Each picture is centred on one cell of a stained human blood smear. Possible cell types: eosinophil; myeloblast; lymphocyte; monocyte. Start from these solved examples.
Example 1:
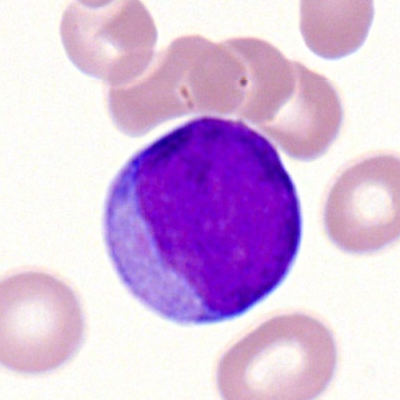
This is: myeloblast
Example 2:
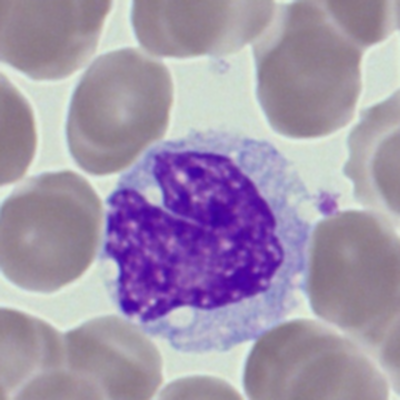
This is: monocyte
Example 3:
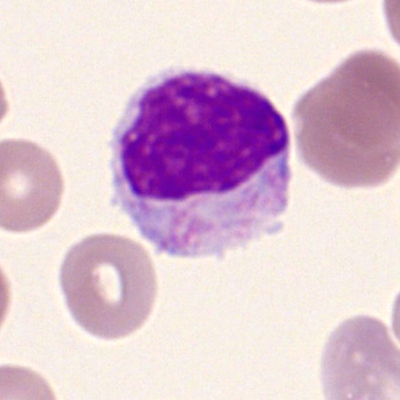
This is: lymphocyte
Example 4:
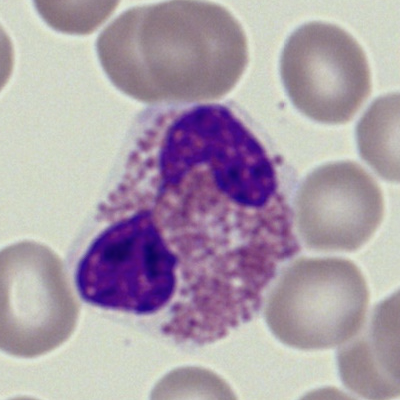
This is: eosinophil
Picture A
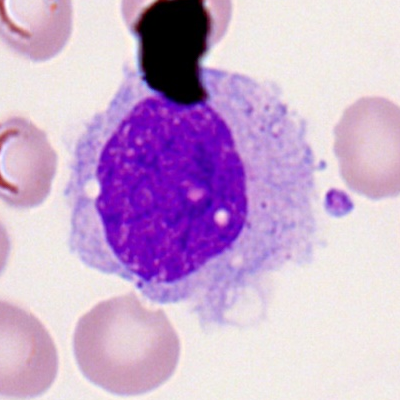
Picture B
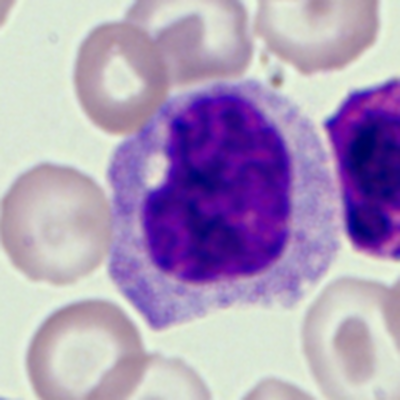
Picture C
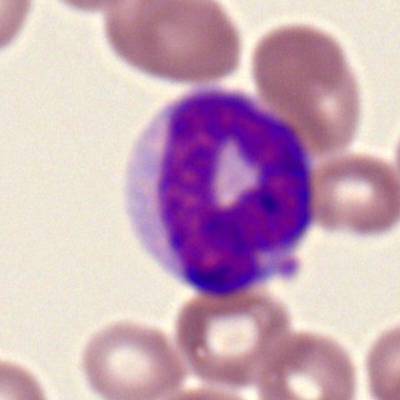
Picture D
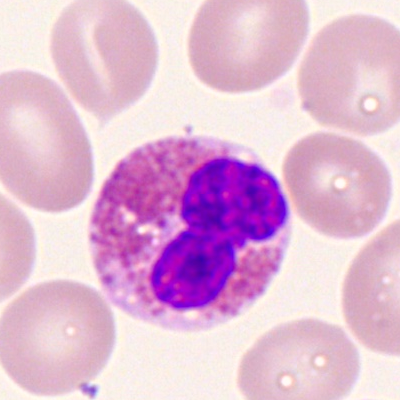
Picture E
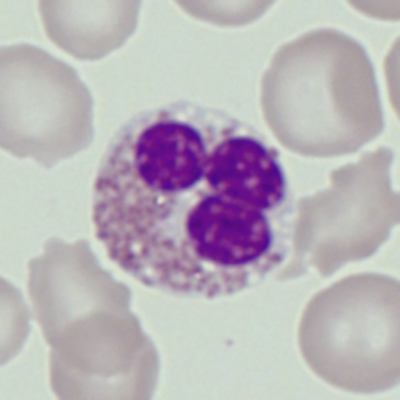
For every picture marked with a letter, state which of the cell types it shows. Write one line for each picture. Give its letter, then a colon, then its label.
A: monocyte
B: monocyte
C: monocyte
D: eosinophil
E: eosinophil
